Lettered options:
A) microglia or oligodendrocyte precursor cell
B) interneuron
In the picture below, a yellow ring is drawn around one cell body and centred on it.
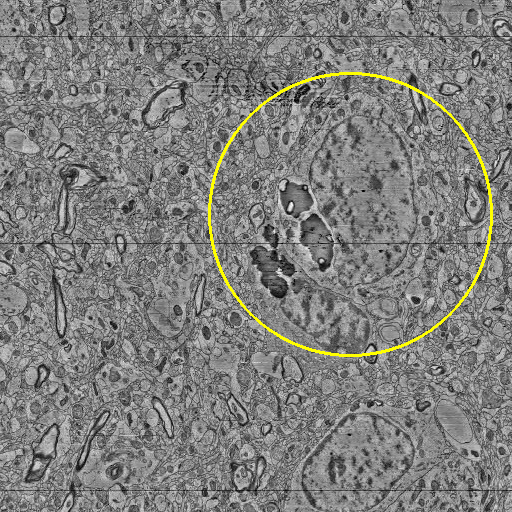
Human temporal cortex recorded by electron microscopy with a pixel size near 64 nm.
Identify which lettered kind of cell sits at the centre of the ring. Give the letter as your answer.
B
